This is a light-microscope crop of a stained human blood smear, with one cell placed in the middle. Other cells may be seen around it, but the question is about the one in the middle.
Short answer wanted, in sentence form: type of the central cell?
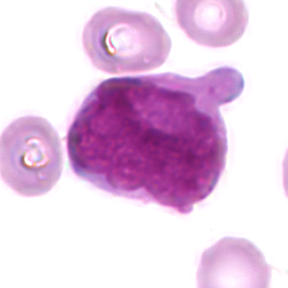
The centrally located cell in the crop is an atypical promyelocyte.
